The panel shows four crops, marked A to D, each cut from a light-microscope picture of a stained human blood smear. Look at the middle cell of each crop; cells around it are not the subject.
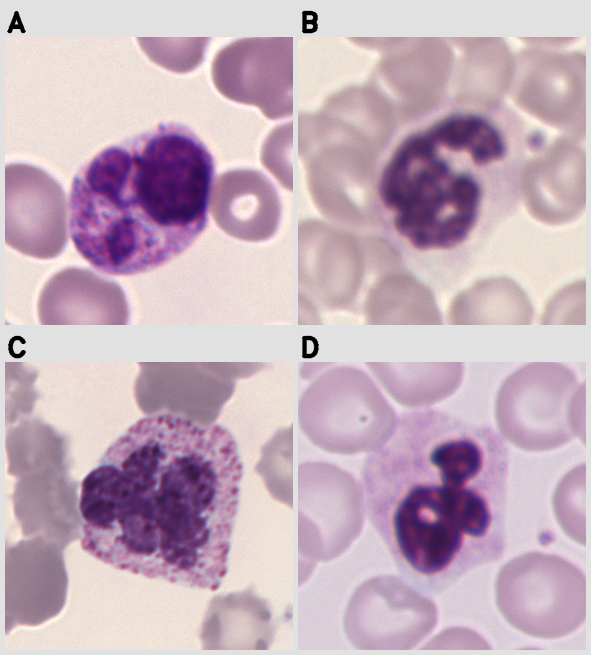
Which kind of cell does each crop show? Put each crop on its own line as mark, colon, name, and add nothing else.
A: basophil
B: segmented neutrophil
C: basophil
D: segmented neutrophil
